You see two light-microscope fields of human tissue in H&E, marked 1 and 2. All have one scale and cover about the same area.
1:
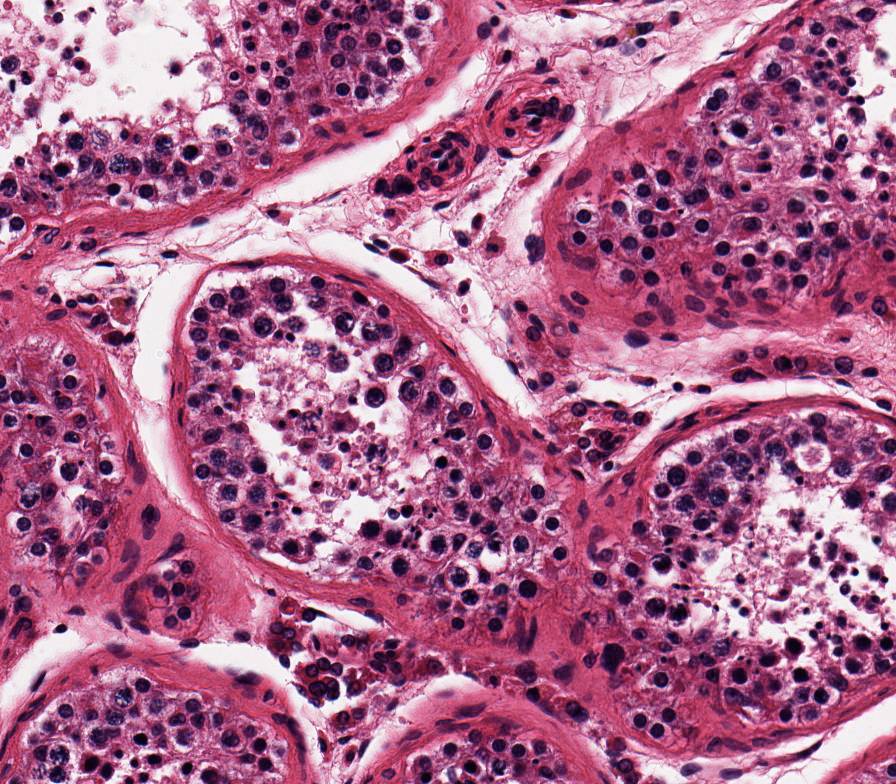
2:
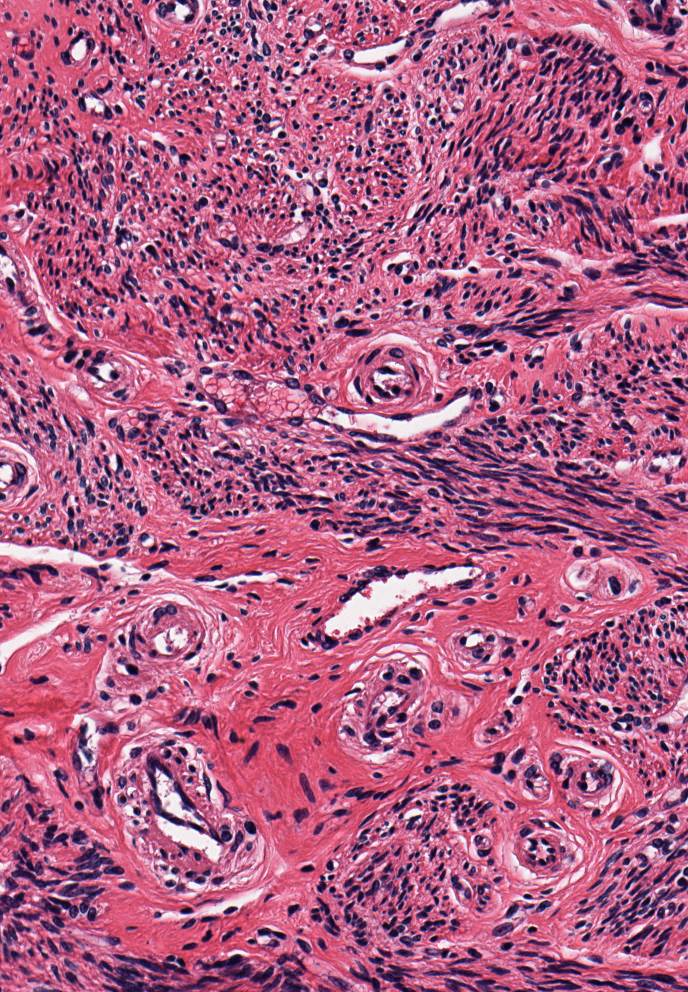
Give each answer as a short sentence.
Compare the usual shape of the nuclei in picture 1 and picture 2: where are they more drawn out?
The nuclei are more elongated in picture 2.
